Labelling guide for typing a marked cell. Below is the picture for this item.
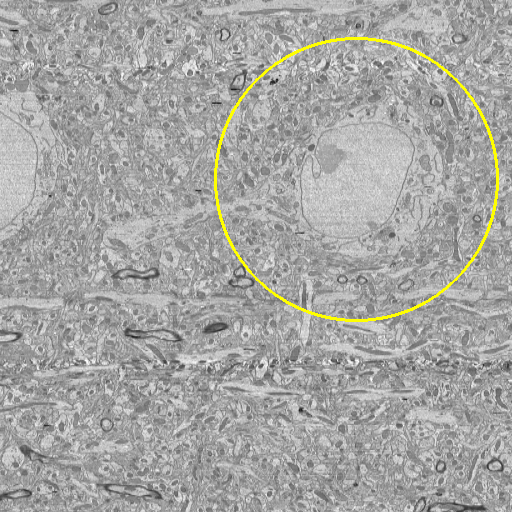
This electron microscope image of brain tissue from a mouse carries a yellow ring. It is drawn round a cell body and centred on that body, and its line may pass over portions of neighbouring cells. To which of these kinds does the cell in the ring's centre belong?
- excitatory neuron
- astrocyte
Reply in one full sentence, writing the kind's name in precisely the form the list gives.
Here we have an excitatory neuron at the centre of the yellow ring in the picture.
